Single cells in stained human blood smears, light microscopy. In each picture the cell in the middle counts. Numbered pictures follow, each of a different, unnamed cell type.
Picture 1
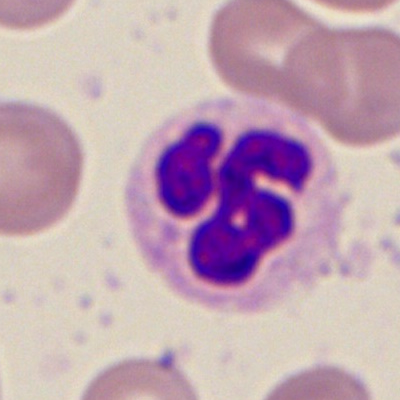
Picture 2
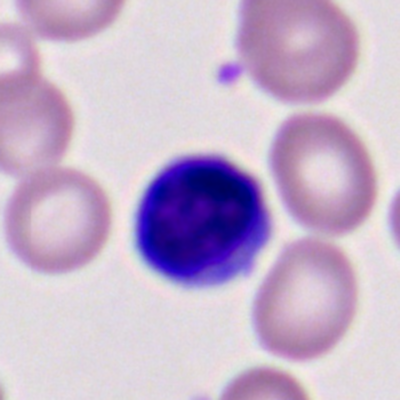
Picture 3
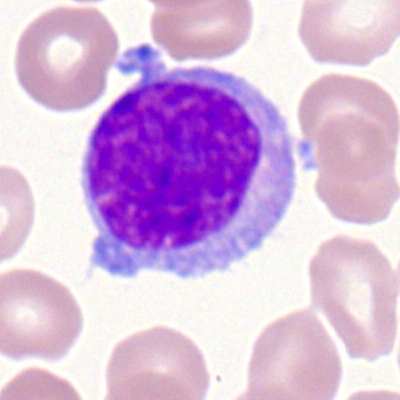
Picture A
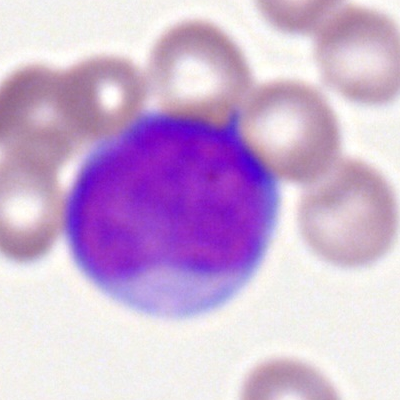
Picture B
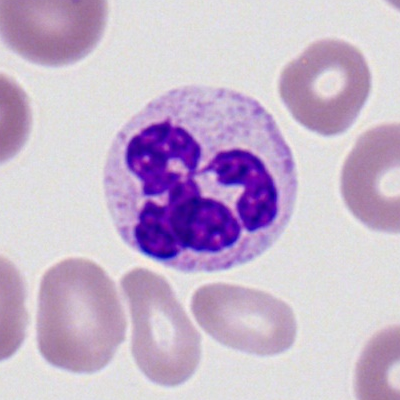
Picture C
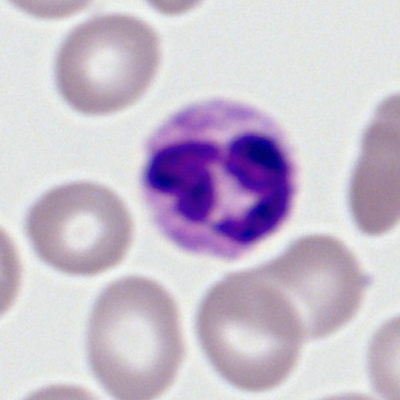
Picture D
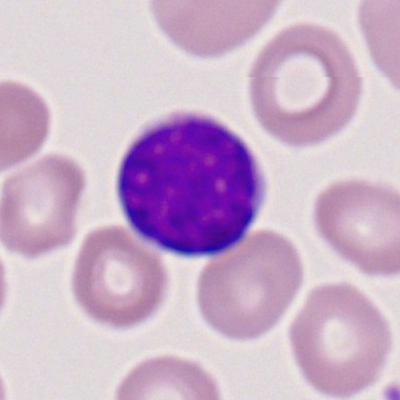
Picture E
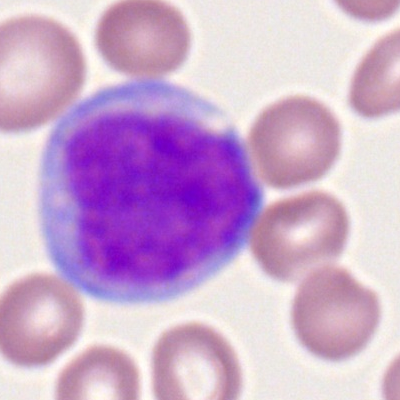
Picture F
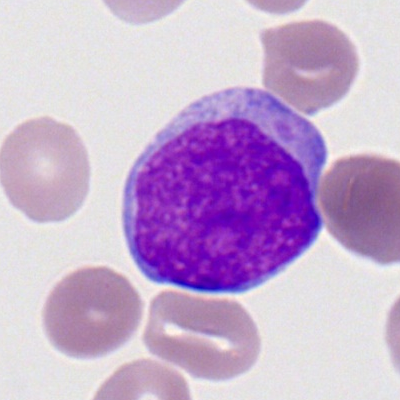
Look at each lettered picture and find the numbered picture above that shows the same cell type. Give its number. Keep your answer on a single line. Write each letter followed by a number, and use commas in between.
A 3, B 1, C 1, D 2, E 3, F 3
